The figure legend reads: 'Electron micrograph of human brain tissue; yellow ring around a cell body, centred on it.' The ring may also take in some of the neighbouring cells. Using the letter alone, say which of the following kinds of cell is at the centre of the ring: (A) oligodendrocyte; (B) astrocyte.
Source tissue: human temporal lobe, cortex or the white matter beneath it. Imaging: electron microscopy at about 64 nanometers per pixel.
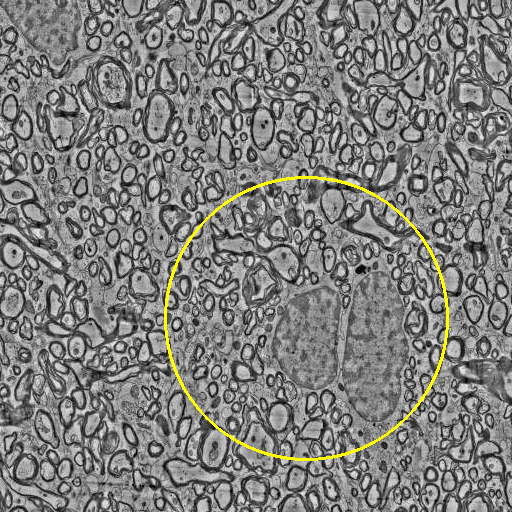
A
